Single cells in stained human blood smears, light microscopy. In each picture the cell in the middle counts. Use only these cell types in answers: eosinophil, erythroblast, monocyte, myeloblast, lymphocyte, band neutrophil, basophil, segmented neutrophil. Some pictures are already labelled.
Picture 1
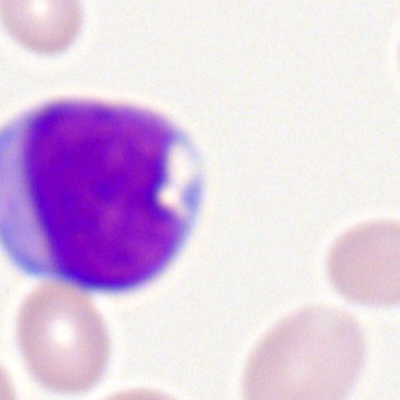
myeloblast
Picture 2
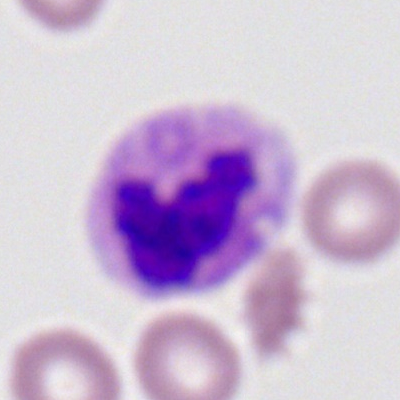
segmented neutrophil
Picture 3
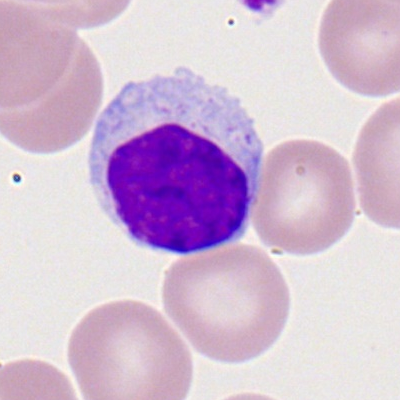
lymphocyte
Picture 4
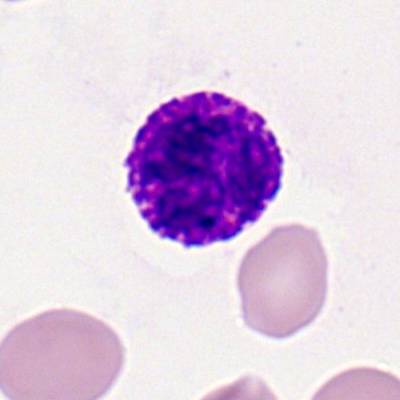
basophil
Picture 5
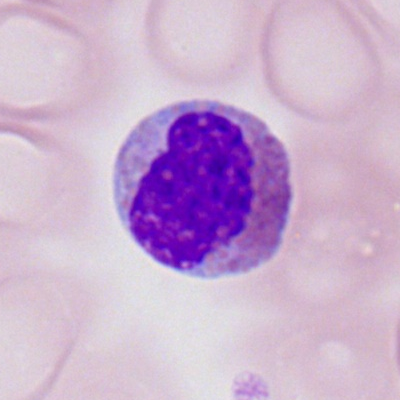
eosinophil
